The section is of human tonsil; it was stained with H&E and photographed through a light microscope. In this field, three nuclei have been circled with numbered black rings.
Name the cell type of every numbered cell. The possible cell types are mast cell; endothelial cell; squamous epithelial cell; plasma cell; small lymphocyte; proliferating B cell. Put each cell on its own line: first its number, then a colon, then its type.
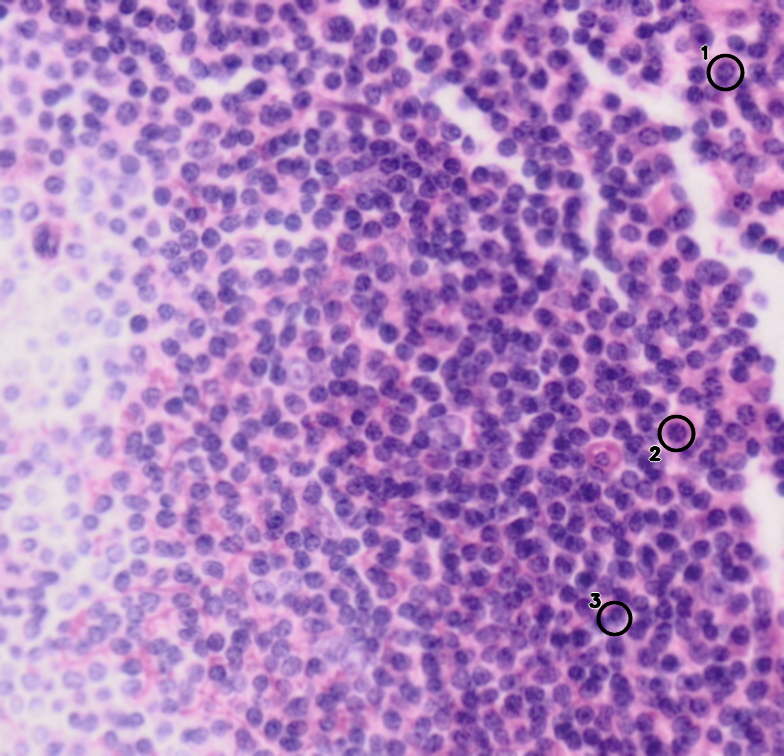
1: plasma cell
2: plasma cell
3: small lymphocyte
